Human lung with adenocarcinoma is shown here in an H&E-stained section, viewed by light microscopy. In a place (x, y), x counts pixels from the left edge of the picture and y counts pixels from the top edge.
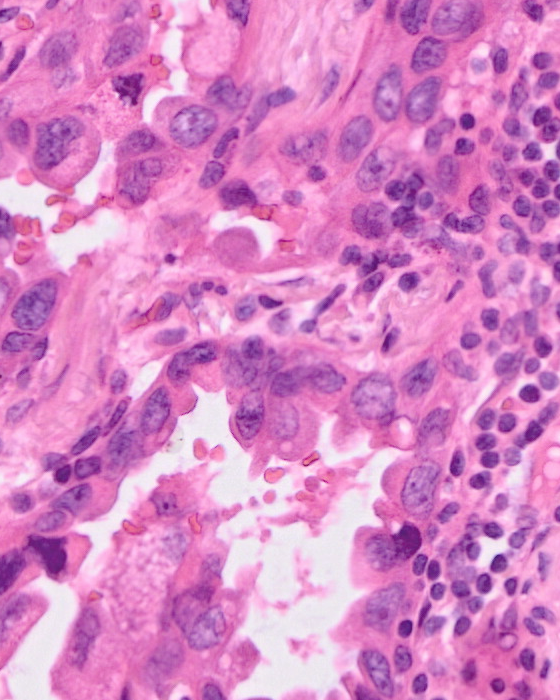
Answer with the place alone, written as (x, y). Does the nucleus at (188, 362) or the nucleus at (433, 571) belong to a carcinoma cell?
(188, 362)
